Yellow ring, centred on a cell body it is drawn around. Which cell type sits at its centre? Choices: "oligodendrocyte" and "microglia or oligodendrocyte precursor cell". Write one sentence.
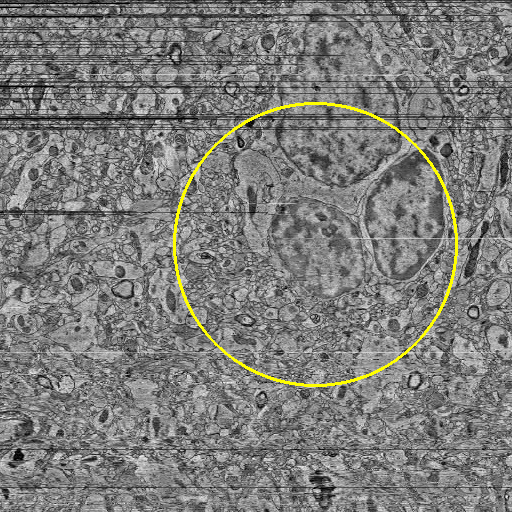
At the centre of the ring sits an oligodendrocyte.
